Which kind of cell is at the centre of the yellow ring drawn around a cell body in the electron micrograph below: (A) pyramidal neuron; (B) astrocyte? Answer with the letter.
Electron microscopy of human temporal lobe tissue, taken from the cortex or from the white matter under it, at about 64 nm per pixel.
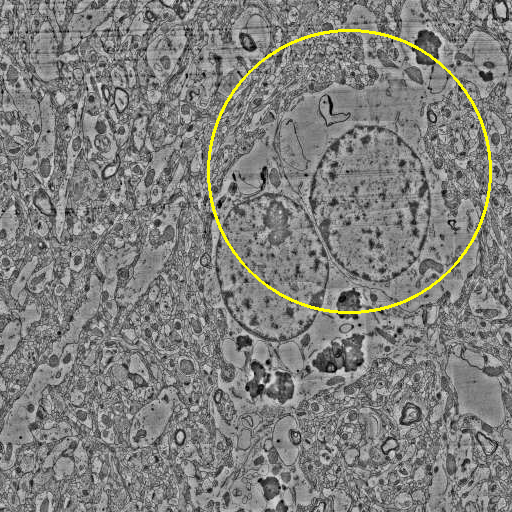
B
